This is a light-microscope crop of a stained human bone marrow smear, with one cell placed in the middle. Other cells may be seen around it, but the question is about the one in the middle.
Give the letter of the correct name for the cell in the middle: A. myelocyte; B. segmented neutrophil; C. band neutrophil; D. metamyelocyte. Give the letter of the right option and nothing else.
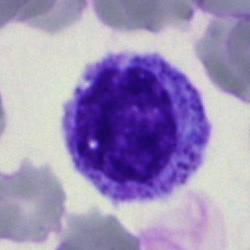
A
